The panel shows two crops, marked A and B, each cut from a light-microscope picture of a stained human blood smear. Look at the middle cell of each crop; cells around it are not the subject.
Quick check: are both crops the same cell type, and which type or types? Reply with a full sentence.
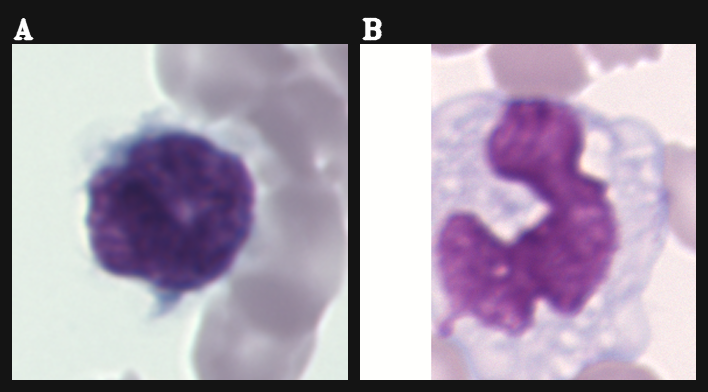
No, crop A should be called a hairy cell, and crop B should be called a monocyte.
